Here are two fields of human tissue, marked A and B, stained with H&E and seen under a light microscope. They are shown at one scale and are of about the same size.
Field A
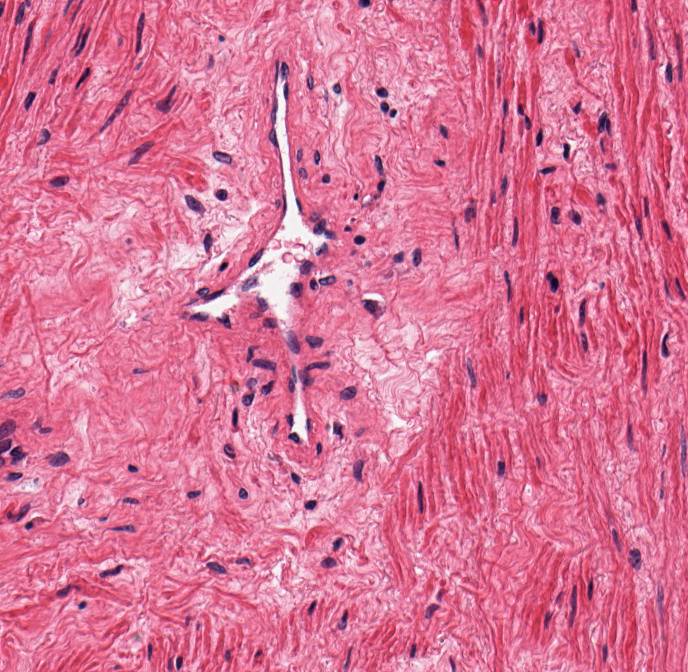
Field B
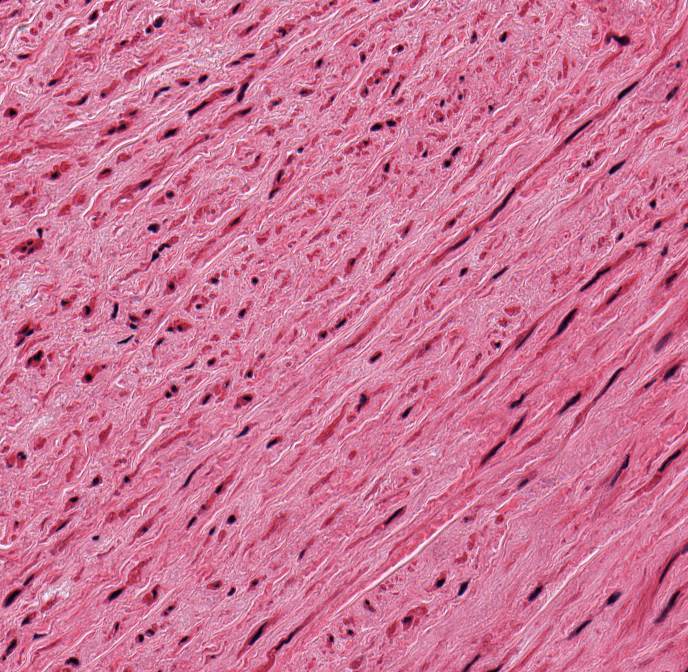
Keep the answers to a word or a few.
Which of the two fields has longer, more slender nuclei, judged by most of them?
A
